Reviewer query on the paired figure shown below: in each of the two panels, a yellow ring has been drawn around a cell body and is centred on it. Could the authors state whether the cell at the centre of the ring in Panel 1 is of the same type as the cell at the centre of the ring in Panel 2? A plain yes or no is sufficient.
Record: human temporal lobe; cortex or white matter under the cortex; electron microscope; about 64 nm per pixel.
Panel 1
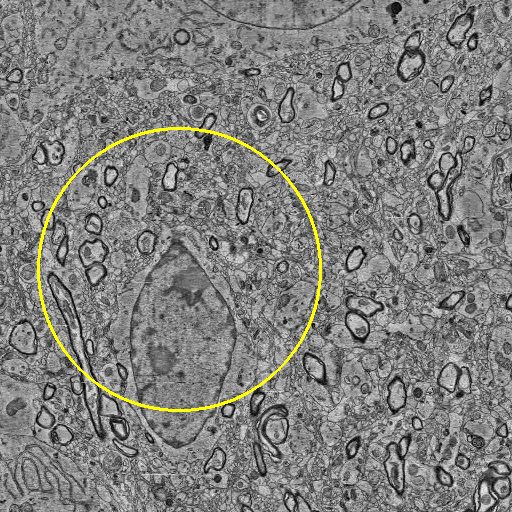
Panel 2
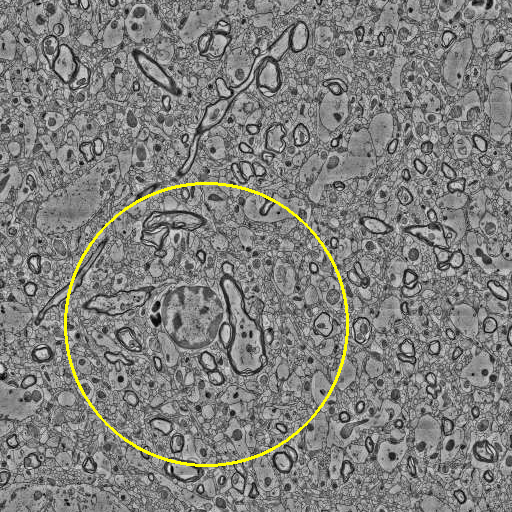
yes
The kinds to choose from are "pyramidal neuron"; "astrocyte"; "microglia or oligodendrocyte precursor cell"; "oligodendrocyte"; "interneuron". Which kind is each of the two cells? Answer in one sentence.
In both pictures the ring is centred on a microglial cell or oligodendrocyte precursor cell.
